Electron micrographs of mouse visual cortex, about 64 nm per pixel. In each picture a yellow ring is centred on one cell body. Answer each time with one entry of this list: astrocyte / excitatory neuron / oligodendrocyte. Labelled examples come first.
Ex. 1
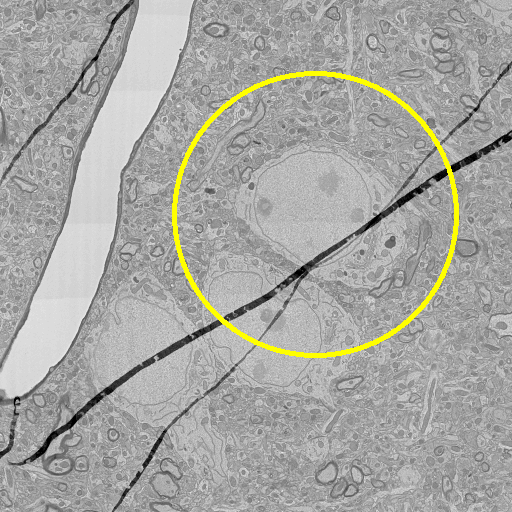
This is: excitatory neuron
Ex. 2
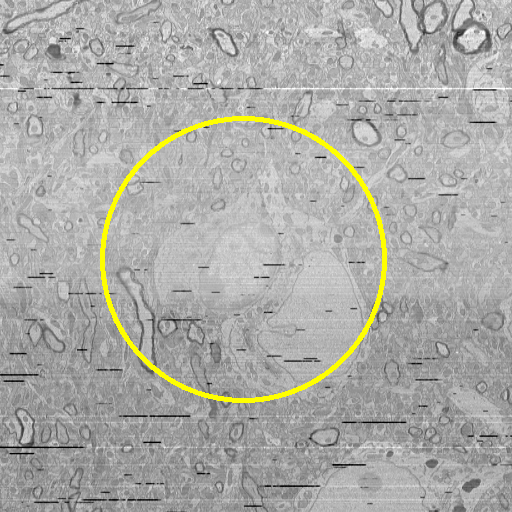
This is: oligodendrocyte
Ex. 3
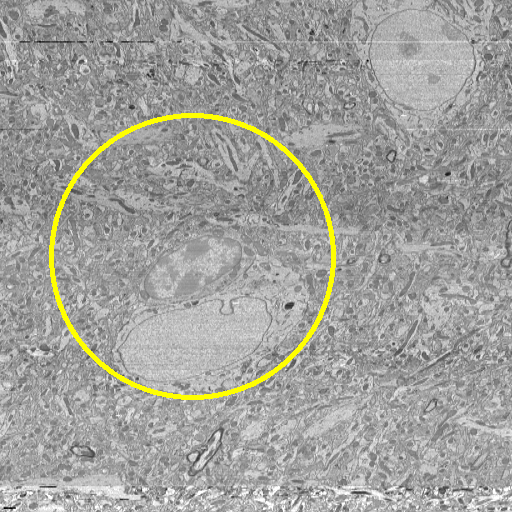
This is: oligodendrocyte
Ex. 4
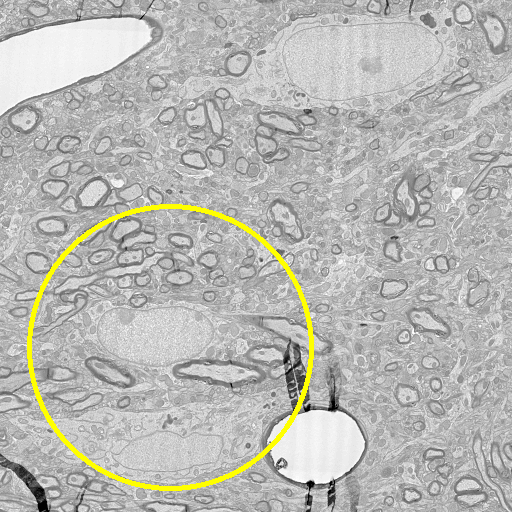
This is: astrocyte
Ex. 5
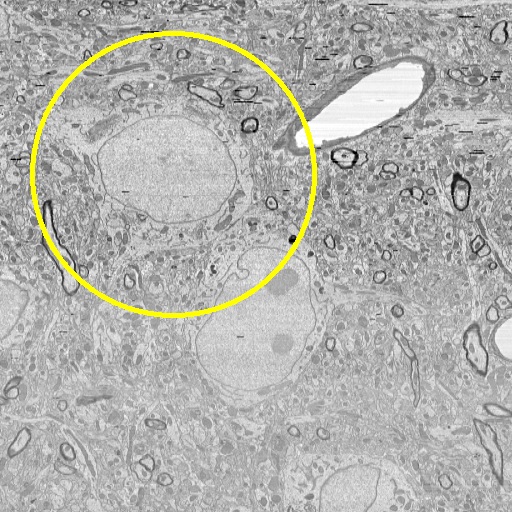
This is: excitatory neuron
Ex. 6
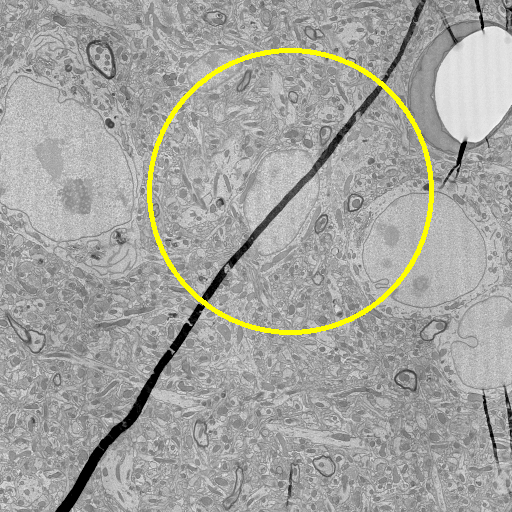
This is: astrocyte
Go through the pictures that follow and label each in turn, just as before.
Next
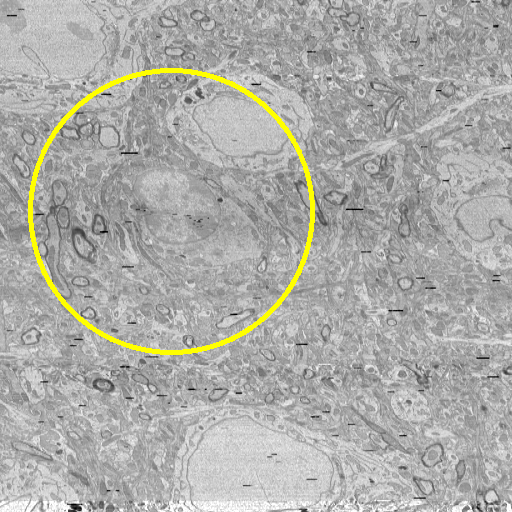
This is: oligodendrocyte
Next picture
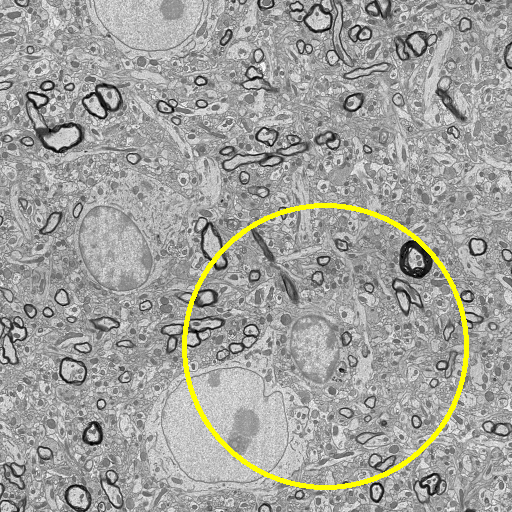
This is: oligodendrocyte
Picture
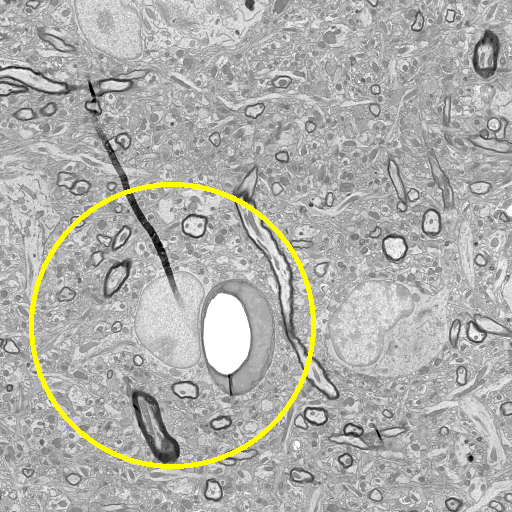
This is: astrocyte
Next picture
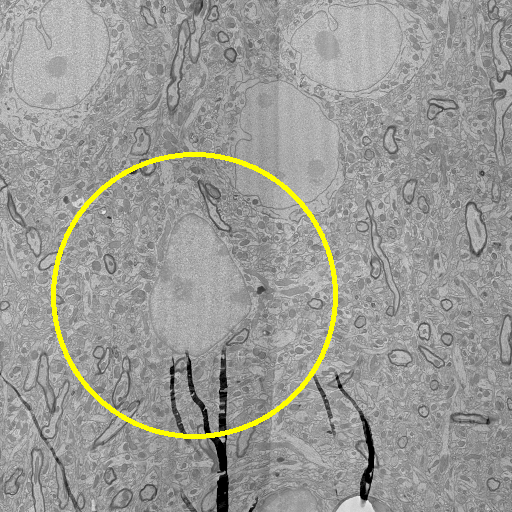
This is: astrocyte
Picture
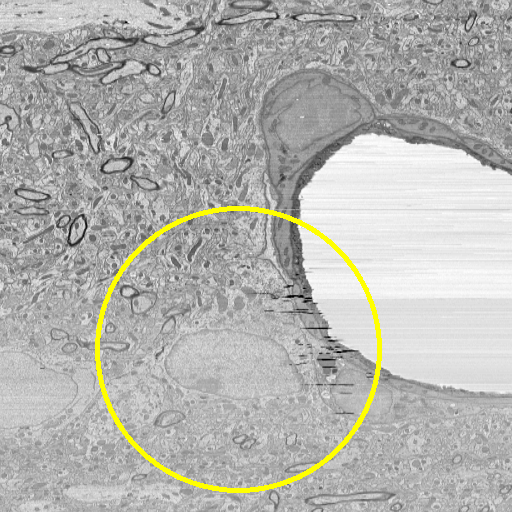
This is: astrocyte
